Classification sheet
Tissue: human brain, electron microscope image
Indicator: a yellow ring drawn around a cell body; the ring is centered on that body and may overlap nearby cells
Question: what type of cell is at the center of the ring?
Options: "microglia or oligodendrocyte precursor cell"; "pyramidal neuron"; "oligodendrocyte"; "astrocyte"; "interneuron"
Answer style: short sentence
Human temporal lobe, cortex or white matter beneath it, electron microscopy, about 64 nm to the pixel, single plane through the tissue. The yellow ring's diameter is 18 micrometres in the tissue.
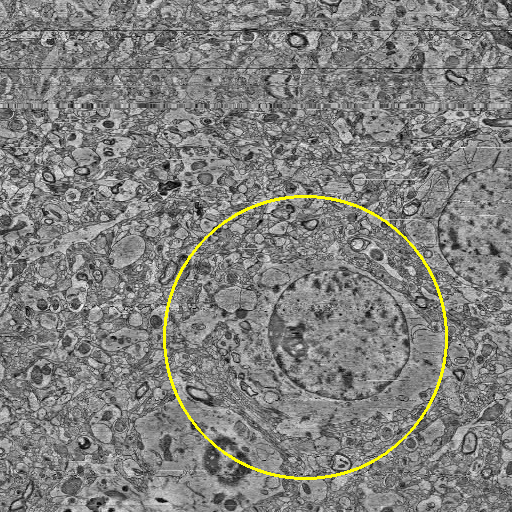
At the ring's center is an astrocyte.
